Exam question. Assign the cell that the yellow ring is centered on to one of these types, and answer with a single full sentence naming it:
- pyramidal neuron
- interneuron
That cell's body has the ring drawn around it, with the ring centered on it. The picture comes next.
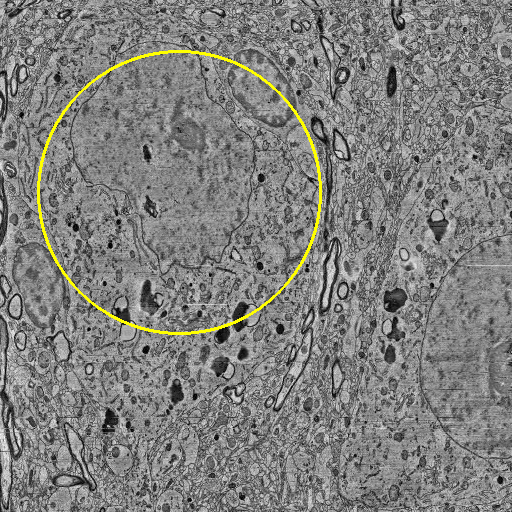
In the micrograph, the cell the yellow ring is centered on is a pyramidal neuron.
